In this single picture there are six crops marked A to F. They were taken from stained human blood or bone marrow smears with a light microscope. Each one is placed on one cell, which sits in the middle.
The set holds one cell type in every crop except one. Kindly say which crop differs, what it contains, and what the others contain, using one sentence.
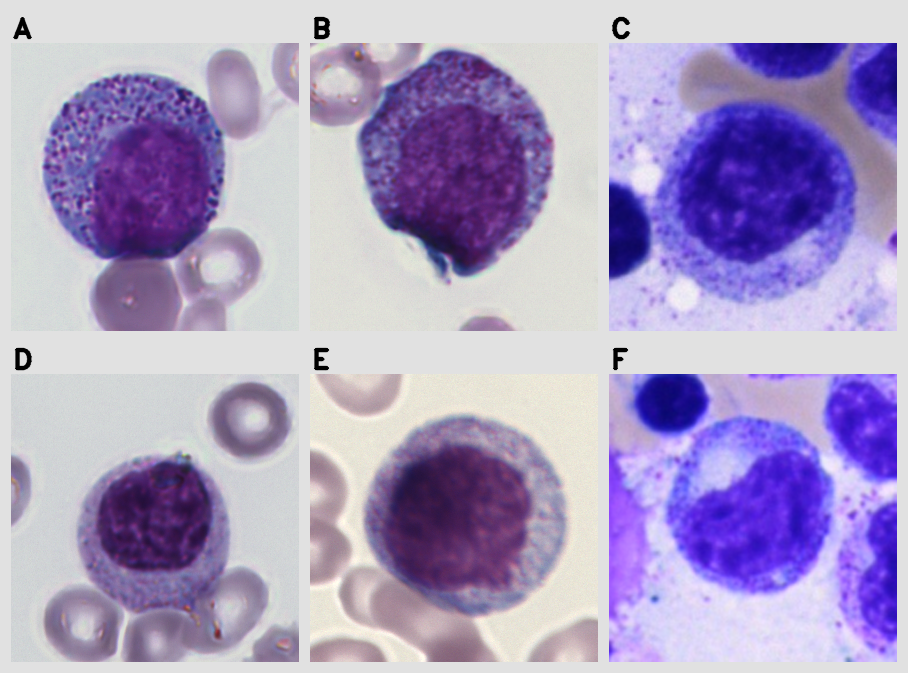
Crop D is the exception in this set, showing a myelocyte while the others show promyelocytes.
